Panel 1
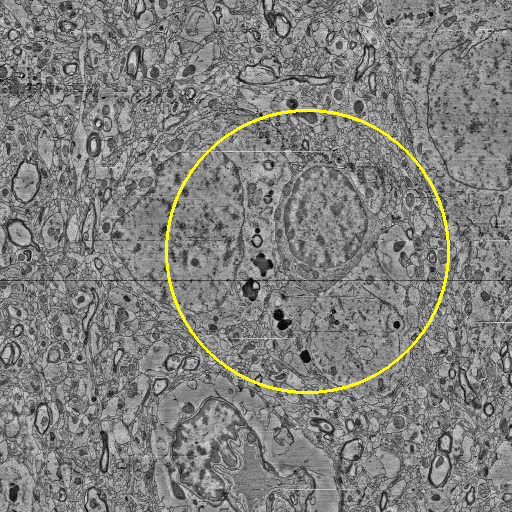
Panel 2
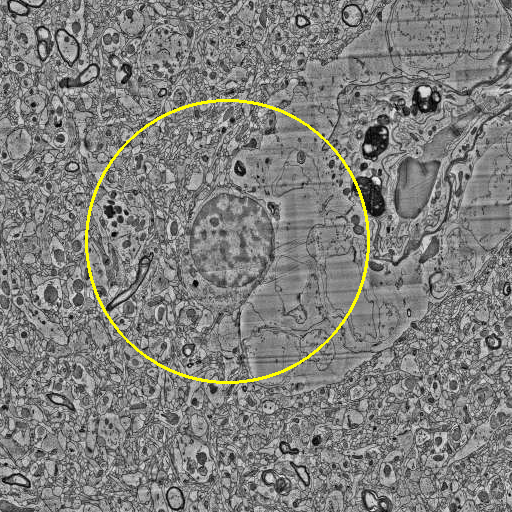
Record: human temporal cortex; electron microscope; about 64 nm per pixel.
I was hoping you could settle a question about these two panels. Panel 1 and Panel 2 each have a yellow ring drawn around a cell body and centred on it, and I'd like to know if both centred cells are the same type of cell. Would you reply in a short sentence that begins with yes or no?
Yes, both are the same type of cell.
